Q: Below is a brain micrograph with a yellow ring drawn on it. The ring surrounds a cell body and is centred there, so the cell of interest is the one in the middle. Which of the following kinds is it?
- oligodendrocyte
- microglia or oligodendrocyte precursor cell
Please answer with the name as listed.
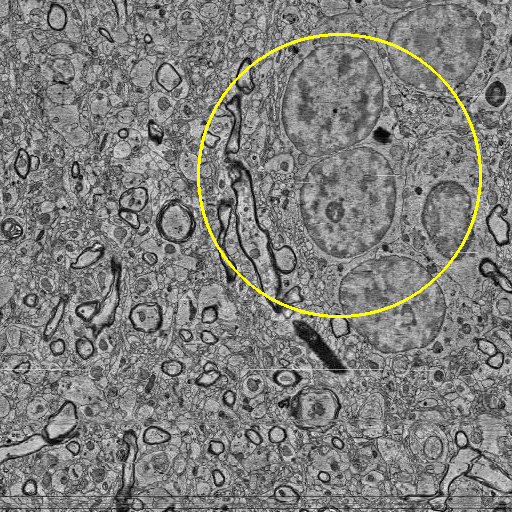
oligodendrocyte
